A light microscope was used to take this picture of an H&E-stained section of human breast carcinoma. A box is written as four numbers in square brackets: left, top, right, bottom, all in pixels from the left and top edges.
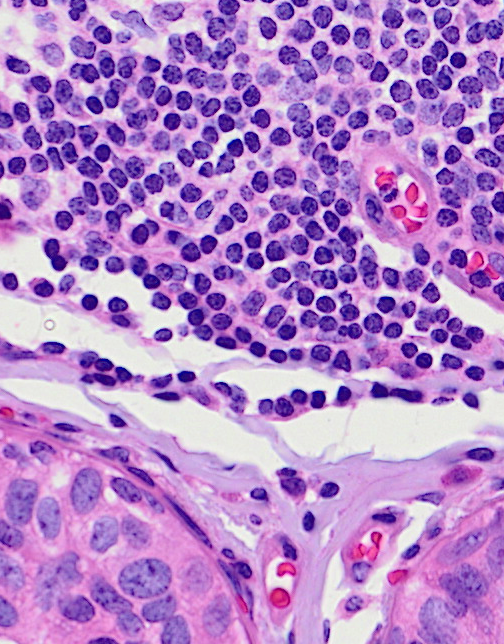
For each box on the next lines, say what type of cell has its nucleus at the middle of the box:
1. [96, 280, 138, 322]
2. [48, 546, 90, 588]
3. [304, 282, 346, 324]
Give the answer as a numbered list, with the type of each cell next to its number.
1. lymphocyte
2. carcinoma cell
3. lymphocyte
